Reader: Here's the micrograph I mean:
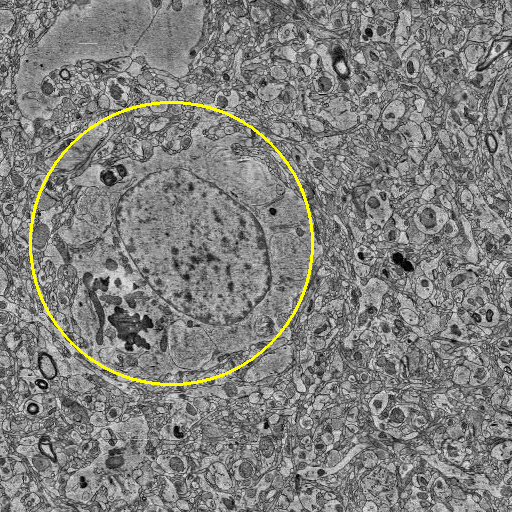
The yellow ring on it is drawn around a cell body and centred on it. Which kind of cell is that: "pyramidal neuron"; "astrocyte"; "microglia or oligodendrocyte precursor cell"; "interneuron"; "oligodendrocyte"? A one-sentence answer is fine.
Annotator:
The ring is centred on an astrocyte.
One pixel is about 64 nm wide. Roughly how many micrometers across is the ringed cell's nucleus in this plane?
The nucleus of the ringed cell is approximately 11 by 8 micrometres in this plane.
